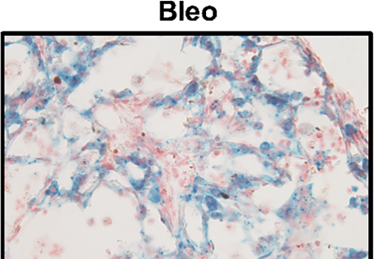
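This is lung tissue in which the alveolar walls are much thicker and more crowded with cells than in normal lung, so that many air spaces are narrowed or lost. Blue deposits lie in numerous cells within the thickened walls. Pink-red nuclei are densely packed, and some loose rounded cells sit in the remaining air spaces.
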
